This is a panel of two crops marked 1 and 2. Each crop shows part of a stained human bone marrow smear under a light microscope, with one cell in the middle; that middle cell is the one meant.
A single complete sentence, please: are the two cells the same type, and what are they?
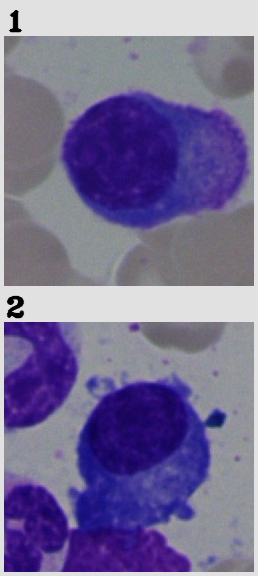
Yes, both crops do show plasma cells in the middle.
